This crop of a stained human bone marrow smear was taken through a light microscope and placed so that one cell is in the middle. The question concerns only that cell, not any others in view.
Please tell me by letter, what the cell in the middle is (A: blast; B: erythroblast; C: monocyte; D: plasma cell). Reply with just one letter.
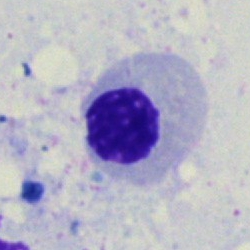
B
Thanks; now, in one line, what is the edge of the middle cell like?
The cell shows a smooth outline that lacks any surface projections.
